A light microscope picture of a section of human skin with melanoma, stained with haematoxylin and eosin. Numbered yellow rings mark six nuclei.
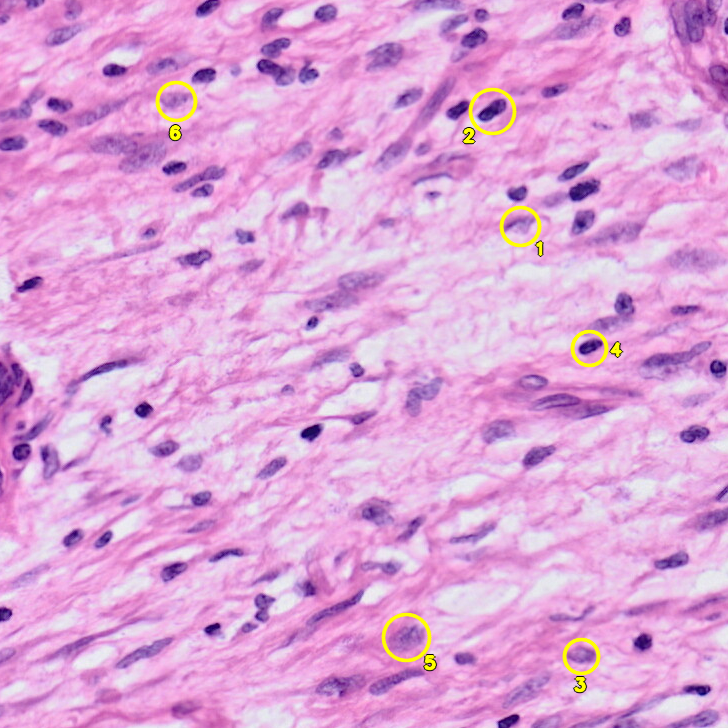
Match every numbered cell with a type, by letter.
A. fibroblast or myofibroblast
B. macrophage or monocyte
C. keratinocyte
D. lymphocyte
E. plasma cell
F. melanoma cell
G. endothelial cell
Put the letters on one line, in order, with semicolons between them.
A; D; A; D; A; A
